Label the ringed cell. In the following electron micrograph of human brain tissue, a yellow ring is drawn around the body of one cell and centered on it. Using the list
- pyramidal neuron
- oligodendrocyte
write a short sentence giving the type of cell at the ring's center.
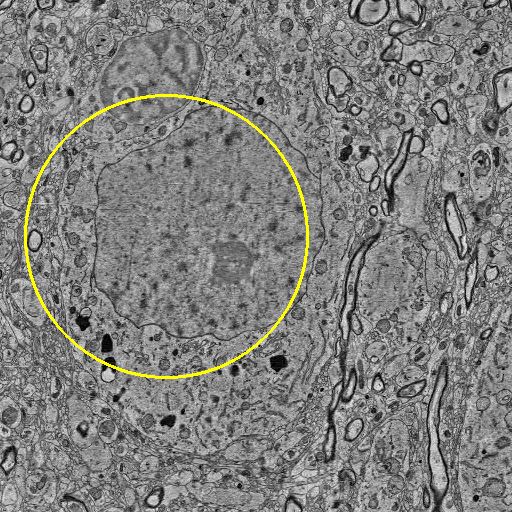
The cell body at the ring's center is that of a pyramidal neuron.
